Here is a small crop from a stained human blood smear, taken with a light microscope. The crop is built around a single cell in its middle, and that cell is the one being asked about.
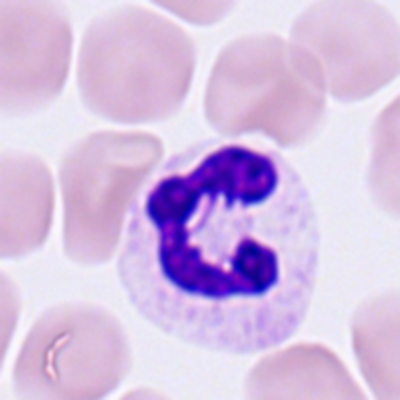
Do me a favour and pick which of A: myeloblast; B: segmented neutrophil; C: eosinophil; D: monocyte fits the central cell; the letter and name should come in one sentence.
Option B is correct, naming the cell in the middle as a segmented neutrophil.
